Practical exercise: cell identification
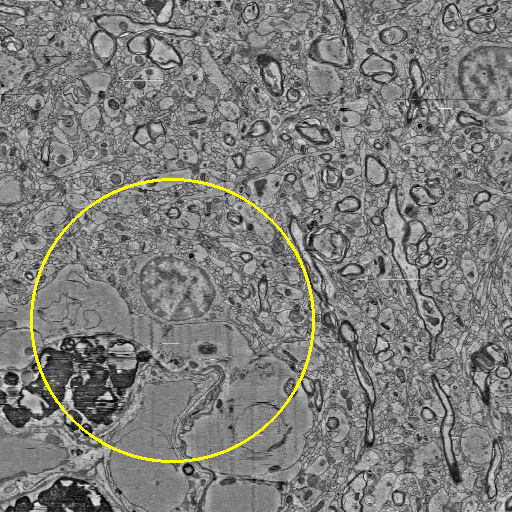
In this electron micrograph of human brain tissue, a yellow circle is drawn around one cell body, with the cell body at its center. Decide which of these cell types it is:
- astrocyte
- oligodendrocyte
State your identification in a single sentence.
The ringed cell is an oligodendrocyte.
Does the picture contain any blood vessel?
Yes, one appears.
